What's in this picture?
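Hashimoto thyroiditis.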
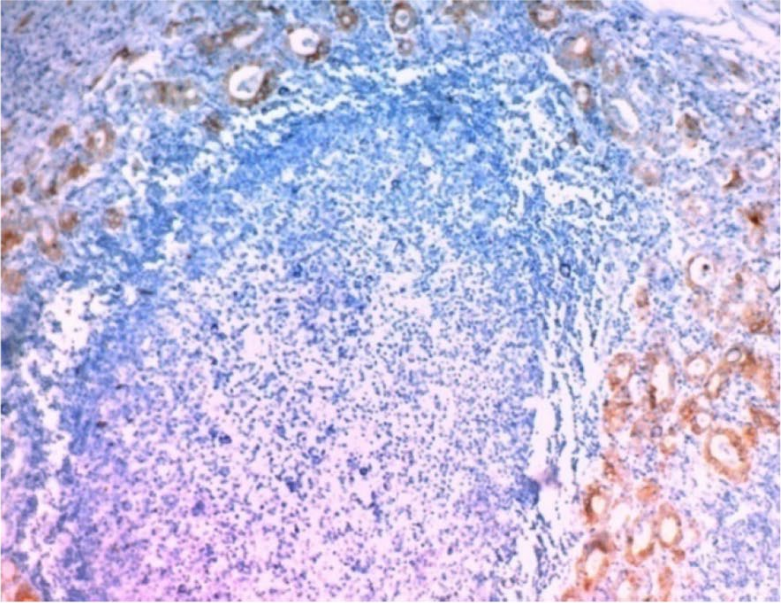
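This lower-power field shows thyroid tissue in which small follicles lined by oxyphil cells sit at the edges, around a large central sheet of densely packed small blue cells. The brown-stained follicles are clustered mainly along the upper edge and at the lower right. The central infiltrate is made of small, closely set cells with dark nuclei and no brown colour. This arrangement shows remaining follicular epithelium surrounded and pushed aside by a heavy lymphoid infiltrate.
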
